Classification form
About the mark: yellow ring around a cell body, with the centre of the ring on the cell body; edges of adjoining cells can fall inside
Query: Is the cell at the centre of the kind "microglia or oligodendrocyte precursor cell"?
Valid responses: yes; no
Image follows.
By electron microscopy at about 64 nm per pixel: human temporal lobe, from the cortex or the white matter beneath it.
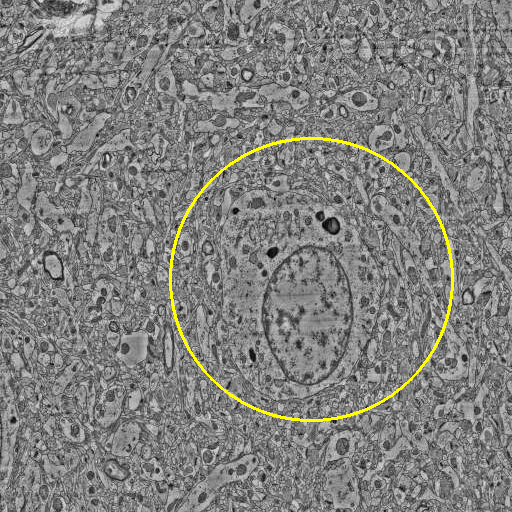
no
